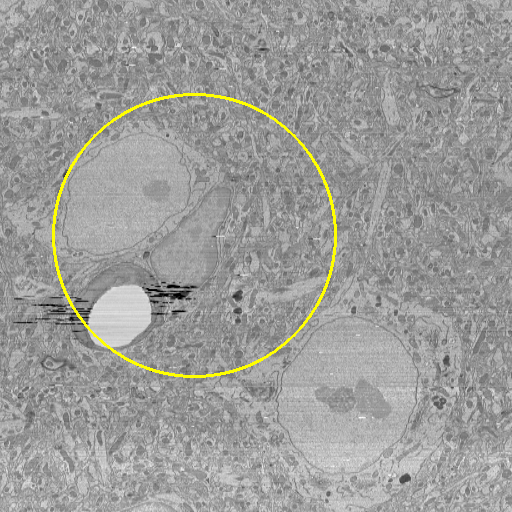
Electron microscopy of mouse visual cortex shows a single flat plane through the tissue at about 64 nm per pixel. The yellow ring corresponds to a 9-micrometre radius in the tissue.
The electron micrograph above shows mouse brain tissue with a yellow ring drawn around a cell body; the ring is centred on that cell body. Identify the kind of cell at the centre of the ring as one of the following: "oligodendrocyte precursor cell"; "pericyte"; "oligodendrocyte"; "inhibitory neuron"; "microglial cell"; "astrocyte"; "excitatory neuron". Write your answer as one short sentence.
The cell at the centre of the ring is a microglial cell.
